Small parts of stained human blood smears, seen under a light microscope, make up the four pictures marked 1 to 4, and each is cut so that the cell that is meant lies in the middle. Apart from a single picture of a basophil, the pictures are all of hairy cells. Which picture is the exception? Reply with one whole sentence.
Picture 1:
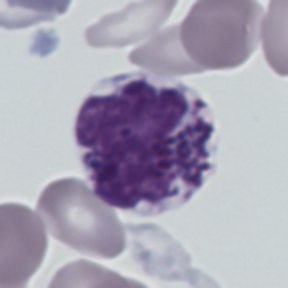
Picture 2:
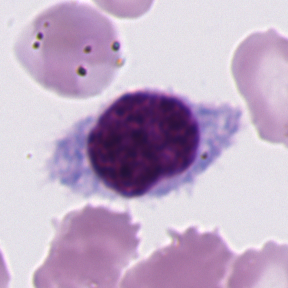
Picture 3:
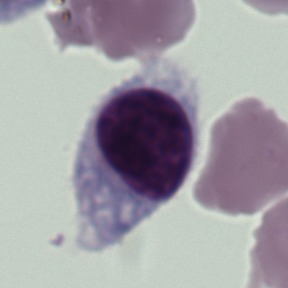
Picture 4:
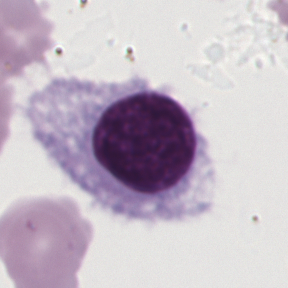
Picture 1 shows the basophil.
